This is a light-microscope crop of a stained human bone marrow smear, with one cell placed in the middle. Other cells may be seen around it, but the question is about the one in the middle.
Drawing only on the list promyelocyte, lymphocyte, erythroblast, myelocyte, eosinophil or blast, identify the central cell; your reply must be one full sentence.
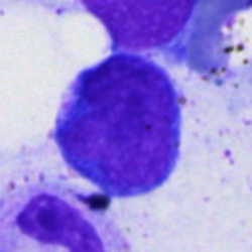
Of the cells in this crop, the central one is a lymphocyte.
